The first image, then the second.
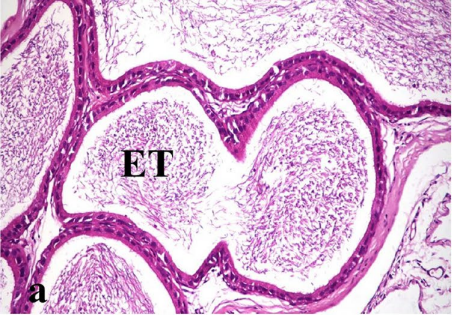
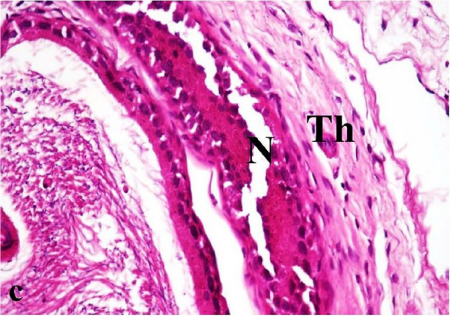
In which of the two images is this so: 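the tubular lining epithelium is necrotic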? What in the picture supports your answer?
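First image: the lining epithelium is an even layer of cells with distinct nuclei.
Hence: the second image.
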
